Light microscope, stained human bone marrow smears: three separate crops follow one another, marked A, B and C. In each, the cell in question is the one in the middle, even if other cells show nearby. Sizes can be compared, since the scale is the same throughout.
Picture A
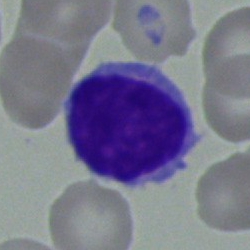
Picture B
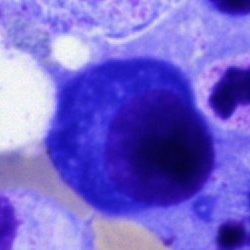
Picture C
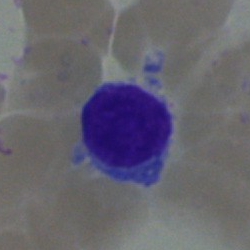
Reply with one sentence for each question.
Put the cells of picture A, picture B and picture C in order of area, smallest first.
Smallest first: C, A, B.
